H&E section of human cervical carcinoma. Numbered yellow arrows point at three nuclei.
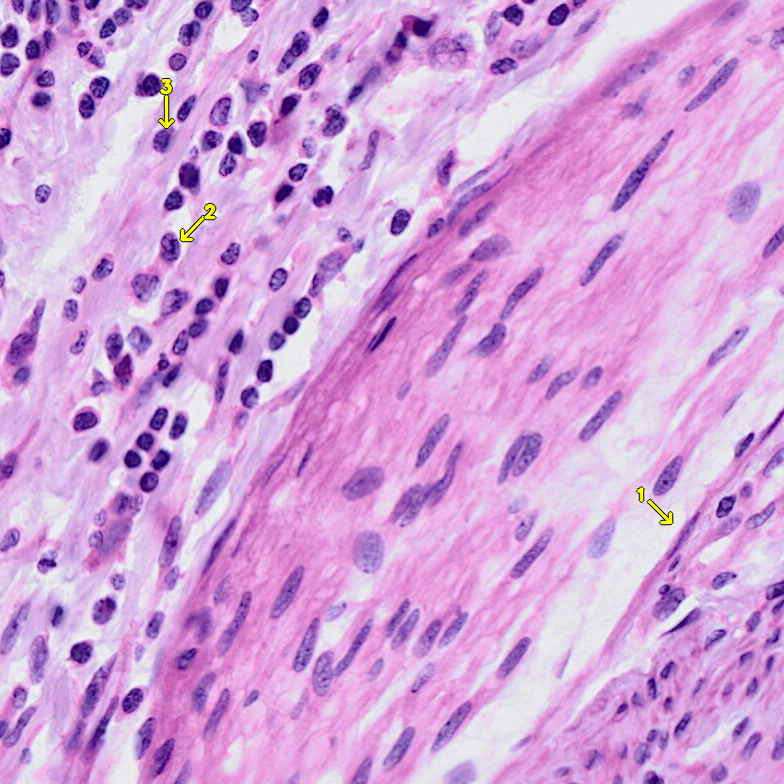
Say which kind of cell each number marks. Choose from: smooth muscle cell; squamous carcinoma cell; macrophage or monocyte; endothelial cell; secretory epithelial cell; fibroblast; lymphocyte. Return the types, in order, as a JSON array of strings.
["endothelial cell", "lymphocyte", "lymphocyte"]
